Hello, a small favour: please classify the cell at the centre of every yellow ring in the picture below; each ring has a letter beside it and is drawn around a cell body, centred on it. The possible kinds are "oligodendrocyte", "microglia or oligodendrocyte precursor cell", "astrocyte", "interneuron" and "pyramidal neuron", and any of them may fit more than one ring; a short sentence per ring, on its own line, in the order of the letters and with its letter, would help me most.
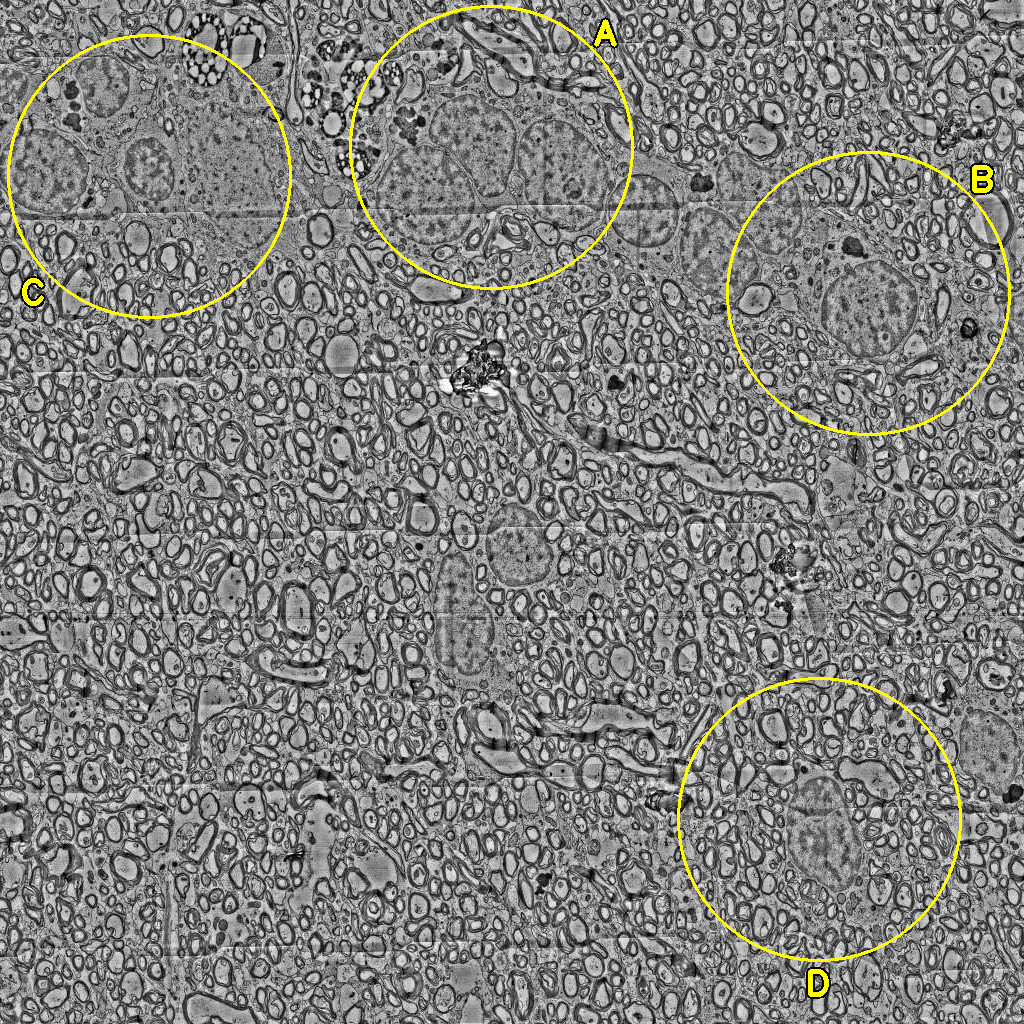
The centre of ring A falls on an oligodendrocyte.
The centre of ring B falls on an oligodendrocyte.
The centre of ring C falls on an oligodendrocyte.
The centre of ring D falls on an oligodendrocyte.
